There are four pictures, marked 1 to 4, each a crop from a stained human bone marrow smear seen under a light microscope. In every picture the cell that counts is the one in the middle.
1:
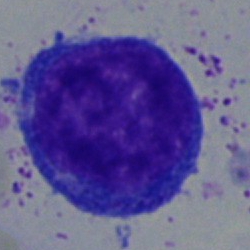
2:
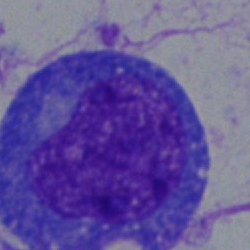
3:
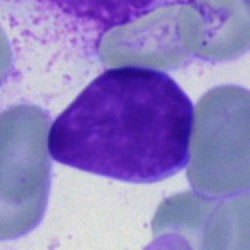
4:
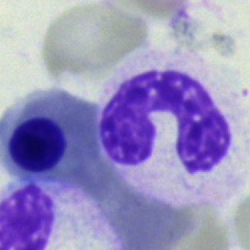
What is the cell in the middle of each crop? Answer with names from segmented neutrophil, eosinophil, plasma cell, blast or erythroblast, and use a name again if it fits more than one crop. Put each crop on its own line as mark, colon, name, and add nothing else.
1: blast
2: blast
3: blast
4: segmented neutrophil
